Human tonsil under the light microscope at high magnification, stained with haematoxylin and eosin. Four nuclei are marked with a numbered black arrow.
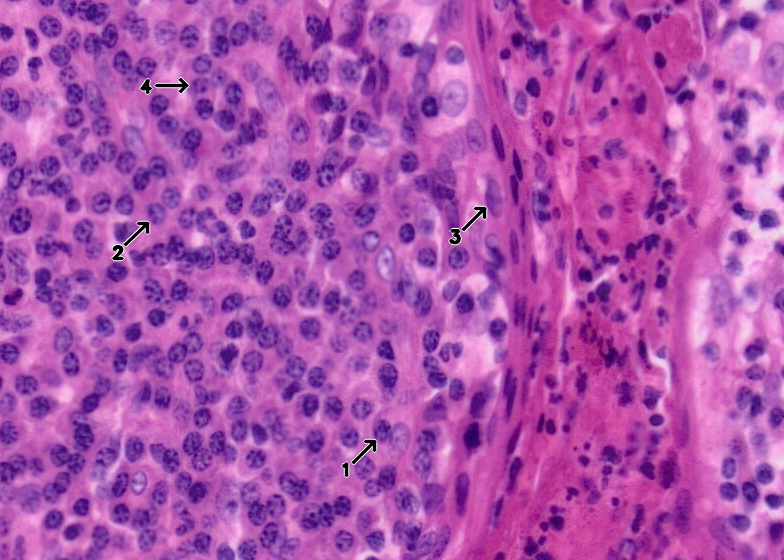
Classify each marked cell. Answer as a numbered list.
1. plasma cell
2. plasma cell
3. squamous epithelial cell
4. plasma cell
